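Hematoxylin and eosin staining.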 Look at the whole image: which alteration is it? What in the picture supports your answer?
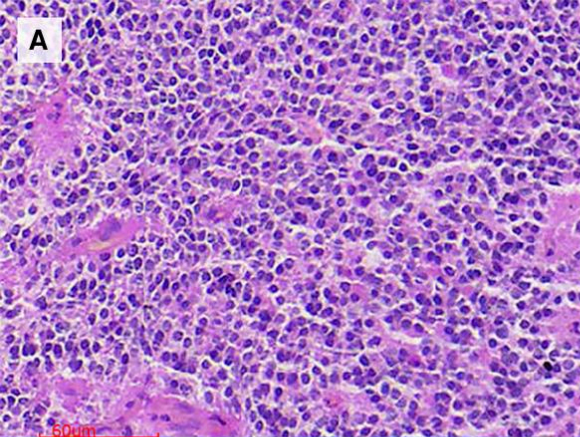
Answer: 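Sheets of closely packed cells fill the field without glands or lobules. The nuclei are round and of much the same size and darkness.
Answer: diffuse proliferation of uniform cells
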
